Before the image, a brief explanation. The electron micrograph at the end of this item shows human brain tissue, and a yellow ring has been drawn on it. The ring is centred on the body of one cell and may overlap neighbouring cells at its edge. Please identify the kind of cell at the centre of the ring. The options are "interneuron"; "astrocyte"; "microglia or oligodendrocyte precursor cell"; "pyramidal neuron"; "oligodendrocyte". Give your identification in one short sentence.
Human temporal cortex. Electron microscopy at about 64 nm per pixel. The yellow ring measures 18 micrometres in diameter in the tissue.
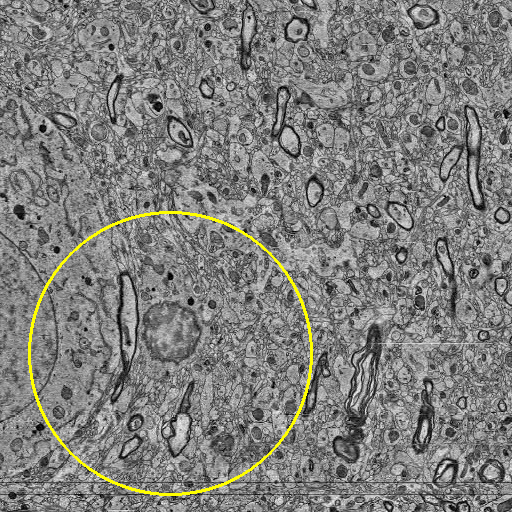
The ring has been placed around an oligodendrocyte.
